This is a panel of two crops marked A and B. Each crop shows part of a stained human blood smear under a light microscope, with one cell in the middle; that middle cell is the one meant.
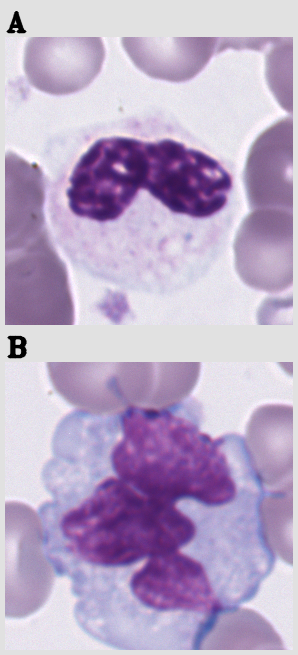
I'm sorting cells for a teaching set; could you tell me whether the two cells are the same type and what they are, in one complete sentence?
No, a band neutrophil is in crop A, while a monocyte is in crop B.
